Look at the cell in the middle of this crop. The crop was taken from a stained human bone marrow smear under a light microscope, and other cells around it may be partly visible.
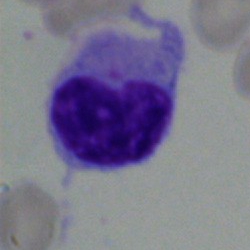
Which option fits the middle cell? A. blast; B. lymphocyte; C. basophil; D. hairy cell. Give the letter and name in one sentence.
The central cell in this crop is a hairy cell, corresponding to option D, the correct option.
